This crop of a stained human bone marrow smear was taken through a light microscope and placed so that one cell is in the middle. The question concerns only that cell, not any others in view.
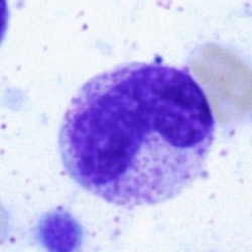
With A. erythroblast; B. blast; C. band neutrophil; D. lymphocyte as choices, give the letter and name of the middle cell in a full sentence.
Option C is correct; the cell in the middle is a band neutrophil.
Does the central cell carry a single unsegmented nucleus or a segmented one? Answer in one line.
One compact mass makes up the whole nucleus, round, oval or kidney-shaped.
